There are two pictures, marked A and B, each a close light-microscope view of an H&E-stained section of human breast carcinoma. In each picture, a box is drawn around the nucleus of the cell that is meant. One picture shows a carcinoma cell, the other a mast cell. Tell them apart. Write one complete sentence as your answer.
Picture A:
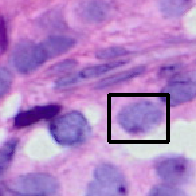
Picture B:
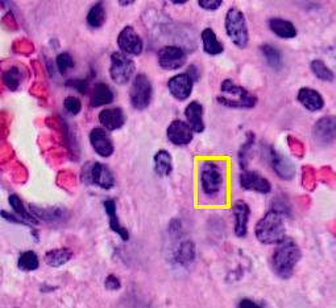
In picture A the cell is a carcinoma cell; in picture B, a mast cell.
